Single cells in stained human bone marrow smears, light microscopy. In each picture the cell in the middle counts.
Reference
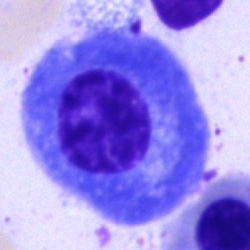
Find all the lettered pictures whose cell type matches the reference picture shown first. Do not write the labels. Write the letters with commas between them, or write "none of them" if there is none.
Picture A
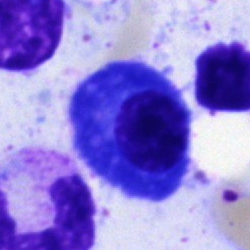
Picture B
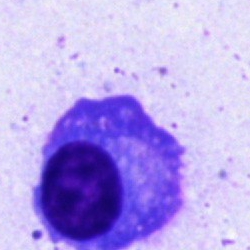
A, B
